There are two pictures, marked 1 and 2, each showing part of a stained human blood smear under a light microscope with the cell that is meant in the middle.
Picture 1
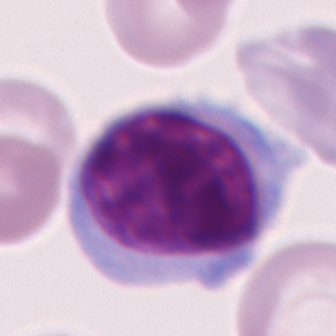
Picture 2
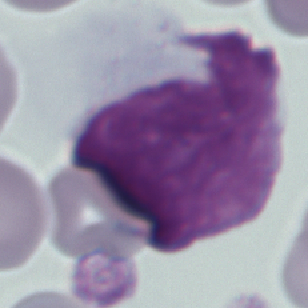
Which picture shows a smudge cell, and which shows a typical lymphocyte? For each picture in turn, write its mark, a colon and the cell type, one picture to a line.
1: typical lymphocyte
2: smudge cell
